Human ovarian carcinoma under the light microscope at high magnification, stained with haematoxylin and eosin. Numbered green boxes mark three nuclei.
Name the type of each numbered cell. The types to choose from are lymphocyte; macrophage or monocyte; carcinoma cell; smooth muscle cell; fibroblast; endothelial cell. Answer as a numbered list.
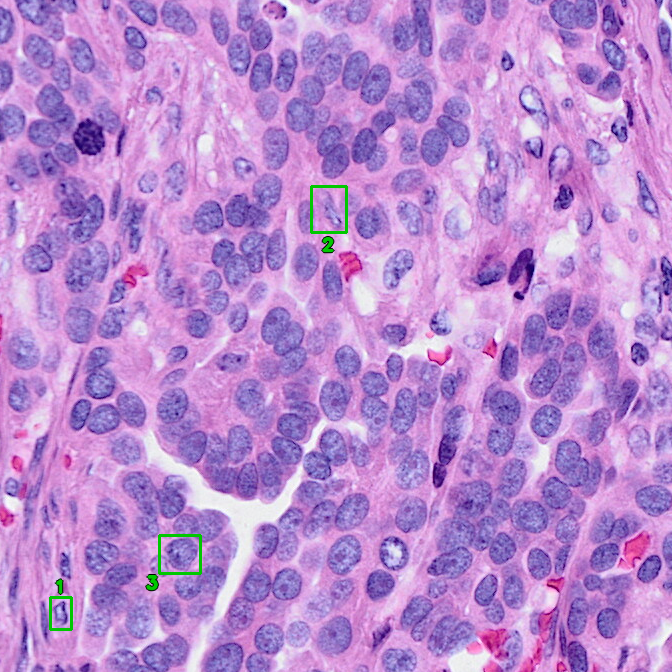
1. fibroblast
2. fibroblast
3. carcinoma cell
